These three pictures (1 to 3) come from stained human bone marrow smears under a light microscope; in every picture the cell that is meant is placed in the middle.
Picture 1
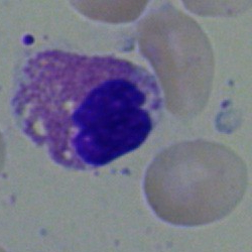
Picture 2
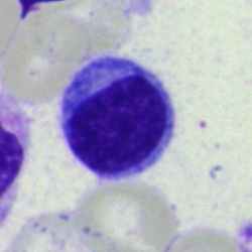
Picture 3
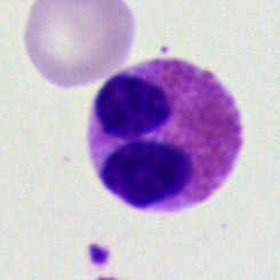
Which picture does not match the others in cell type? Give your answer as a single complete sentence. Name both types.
The others show eosinophils, but picture 2 shows a lymphocyte.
